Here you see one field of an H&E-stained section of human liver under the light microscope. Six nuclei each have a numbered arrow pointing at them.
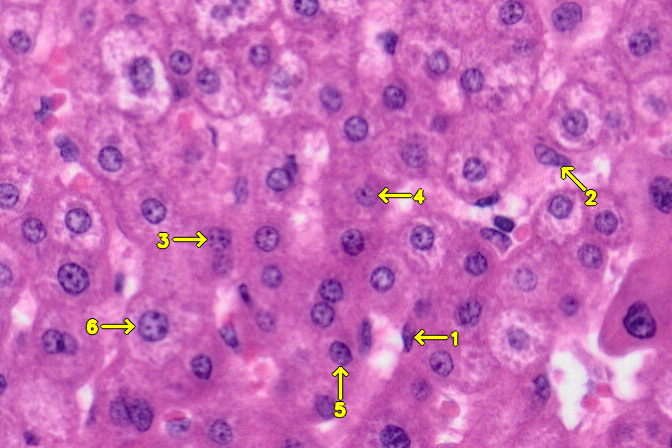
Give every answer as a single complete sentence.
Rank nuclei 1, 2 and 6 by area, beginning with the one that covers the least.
The order from the smallest nucleus to the largest is 1, 2, 6.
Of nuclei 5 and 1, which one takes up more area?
Nucleus 5 covers more area, about 1.5 times as much as nucleus 1.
